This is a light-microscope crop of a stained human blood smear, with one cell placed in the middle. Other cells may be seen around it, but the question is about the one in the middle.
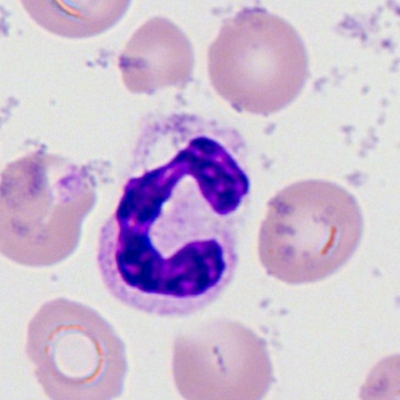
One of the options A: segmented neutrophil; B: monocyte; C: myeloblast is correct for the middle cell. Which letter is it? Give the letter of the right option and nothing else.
A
